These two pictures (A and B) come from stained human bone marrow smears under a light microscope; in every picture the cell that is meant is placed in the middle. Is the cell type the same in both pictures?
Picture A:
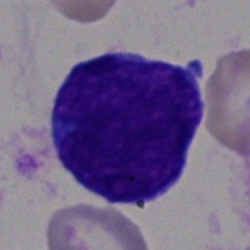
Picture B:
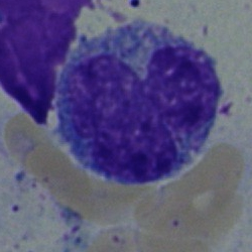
no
